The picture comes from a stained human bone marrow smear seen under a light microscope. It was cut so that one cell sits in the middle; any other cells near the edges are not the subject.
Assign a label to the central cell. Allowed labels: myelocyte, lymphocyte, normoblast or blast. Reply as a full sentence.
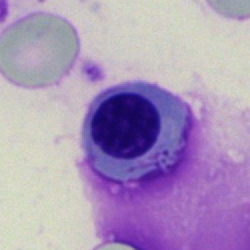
The central element of this crop is a cell, namely a normoblast.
